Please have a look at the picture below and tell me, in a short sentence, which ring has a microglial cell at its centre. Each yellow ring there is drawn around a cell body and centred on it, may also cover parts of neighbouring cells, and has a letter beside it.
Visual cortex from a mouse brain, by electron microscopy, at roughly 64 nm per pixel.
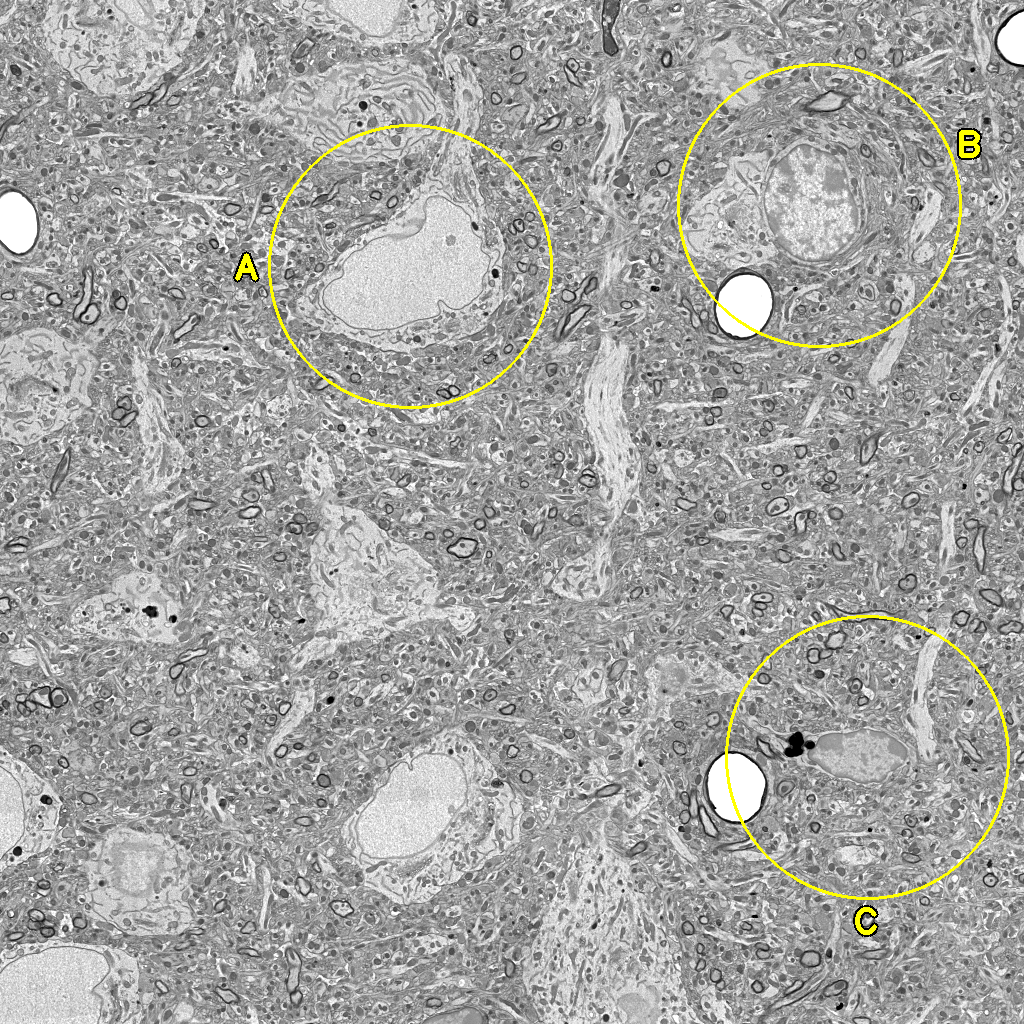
Ring C is centred on it.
